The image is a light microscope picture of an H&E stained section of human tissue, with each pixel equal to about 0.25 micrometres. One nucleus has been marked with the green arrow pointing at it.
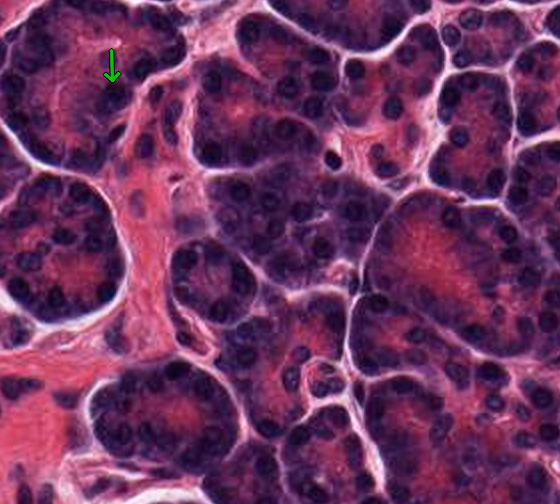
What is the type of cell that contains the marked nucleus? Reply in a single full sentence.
What is marked is the nucleus of a pancreatic acinar cell.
